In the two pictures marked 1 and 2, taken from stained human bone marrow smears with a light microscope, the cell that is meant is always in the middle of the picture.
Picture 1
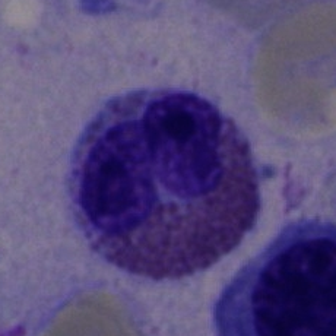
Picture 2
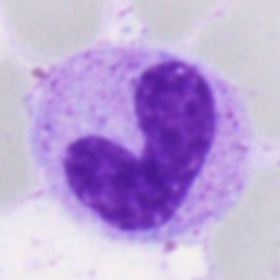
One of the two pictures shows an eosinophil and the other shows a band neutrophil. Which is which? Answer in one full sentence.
In picture 1 the cell is an eosinophil; in picture 2, a band neutrophil.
